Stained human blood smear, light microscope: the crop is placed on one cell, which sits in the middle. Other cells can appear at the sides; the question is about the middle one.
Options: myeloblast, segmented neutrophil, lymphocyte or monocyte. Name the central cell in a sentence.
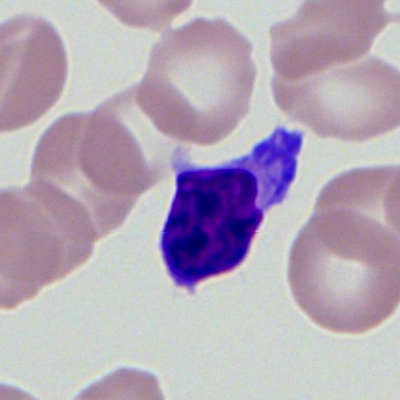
The crop's centre is taken up by a lymphocyte.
